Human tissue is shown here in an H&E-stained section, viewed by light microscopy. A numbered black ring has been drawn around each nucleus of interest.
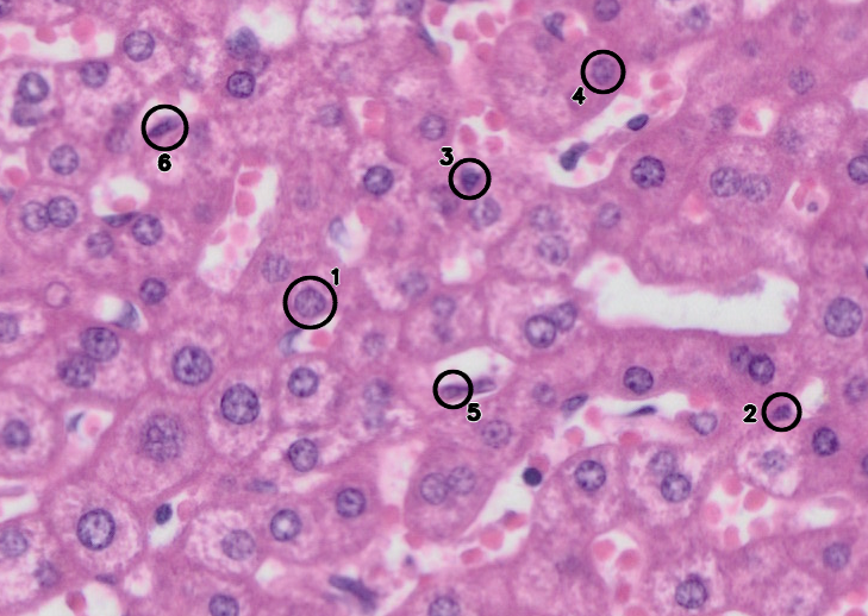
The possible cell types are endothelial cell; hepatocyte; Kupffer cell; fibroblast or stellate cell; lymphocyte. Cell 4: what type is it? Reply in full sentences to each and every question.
The marked nucleus 4 is that of a hepatocyte.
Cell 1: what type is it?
The cell referenced by the number 1 is a hepatocyte in this field.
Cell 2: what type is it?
The cell bearing label 2 corresponds to a fibroblast or stellate cell.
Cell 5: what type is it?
Cell 5 should be recorded as a Kupffer cell.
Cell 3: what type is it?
The cell with the number 3 is a fibroblast or stellate cell.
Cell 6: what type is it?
The cell carrying label 6 is identified as a Kupffer cell.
